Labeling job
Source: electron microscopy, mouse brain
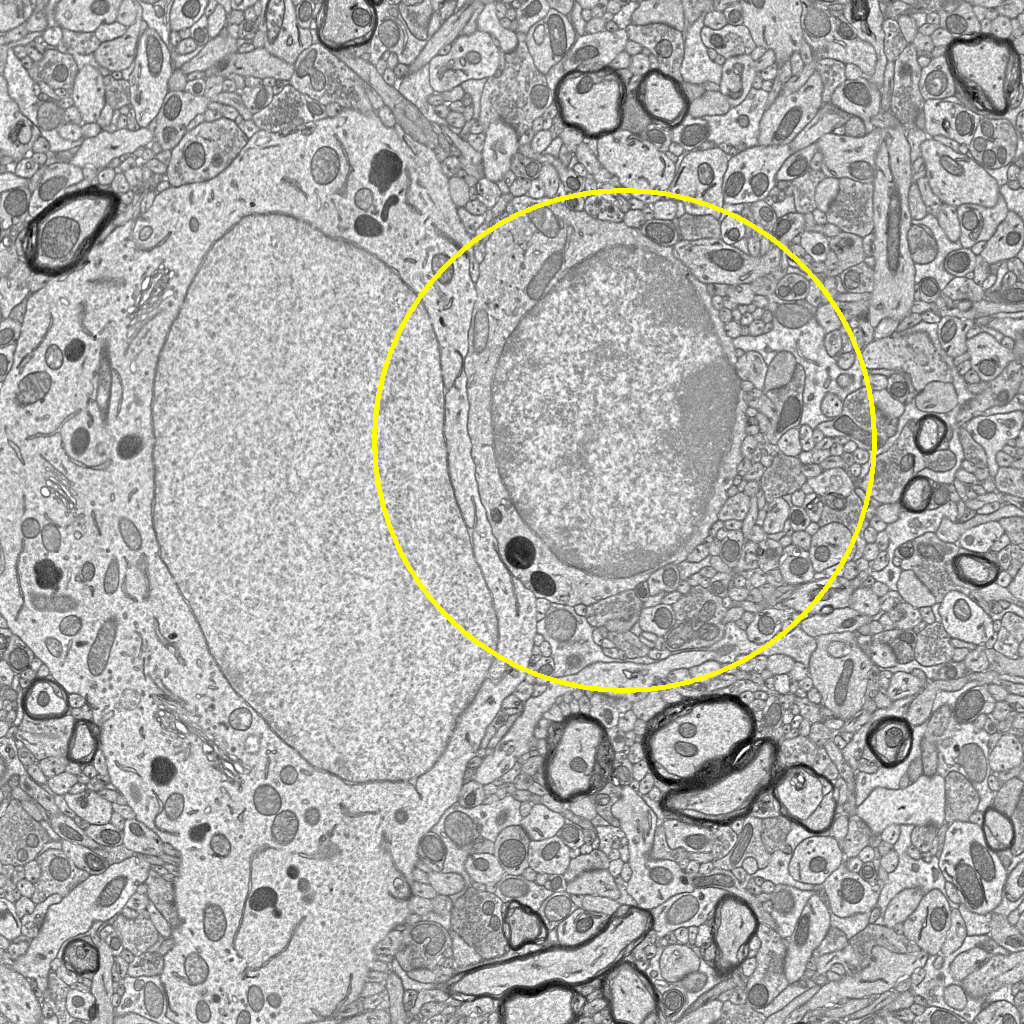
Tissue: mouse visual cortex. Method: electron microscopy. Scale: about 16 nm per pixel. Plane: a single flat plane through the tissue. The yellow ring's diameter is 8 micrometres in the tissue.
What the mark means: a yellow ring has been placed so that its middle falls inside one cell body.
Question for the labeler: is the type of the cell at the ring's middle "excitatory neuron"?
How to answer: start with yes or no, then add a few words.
No, its type is another one.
